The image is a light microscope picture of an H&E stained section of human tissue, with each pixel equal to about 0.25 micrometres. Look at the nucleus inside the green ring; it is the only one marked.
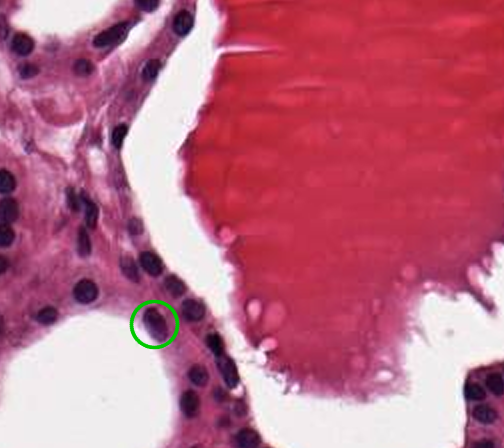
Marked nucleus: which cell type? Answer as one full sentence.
Part of a thyroid follicular cell is the marked nucleus.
